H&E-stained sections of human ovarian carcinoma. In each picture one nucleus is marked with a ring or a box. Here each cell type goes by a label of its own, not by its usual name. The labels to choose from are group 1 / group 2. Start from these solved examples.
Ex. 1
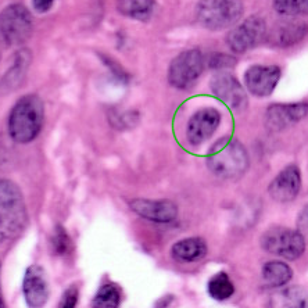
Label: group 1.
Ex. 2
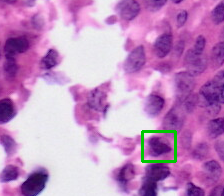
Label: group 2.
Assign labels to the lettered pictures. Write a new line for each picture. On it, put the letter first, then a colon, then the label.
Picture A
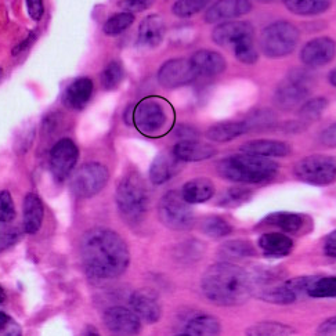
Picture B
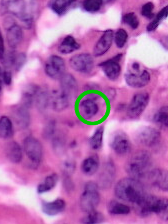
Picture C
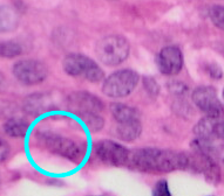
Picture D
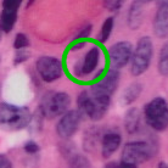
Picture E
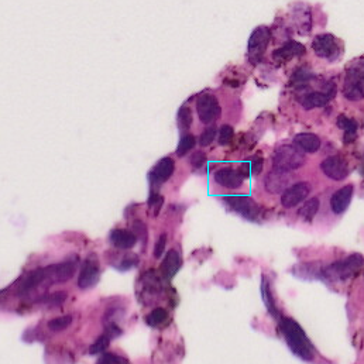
A: group 2.
B: group 1.
C: group 2.
D: group 2.
E: group 2.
